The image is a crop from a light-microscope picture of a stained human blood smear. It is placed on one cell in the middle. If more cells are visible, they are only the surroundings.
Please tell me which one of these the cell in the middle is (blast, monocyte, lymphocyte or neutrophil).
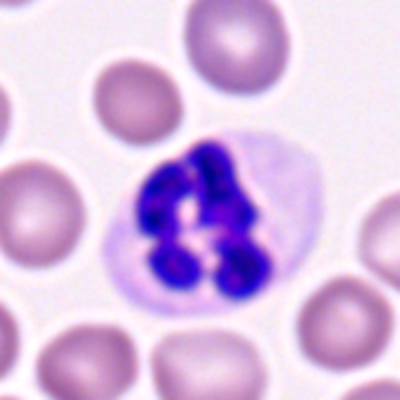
neutrophil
